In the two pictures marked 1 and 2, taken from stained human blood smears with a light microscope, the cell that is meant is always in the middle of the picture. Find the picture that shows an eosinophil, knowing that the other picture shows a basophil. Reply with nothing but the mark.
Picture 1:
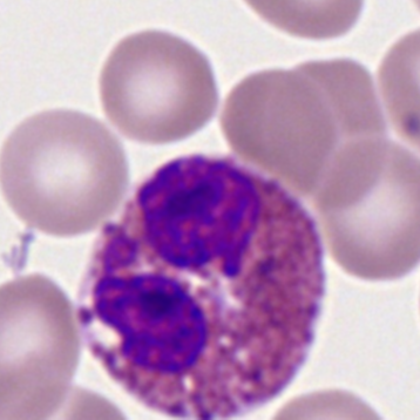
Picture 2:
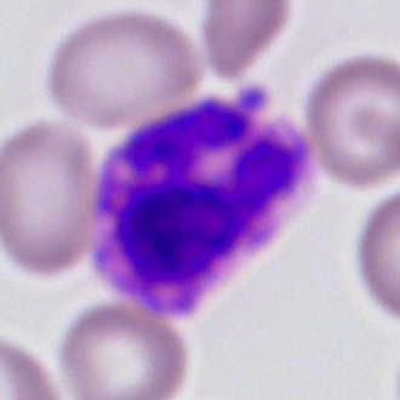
1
